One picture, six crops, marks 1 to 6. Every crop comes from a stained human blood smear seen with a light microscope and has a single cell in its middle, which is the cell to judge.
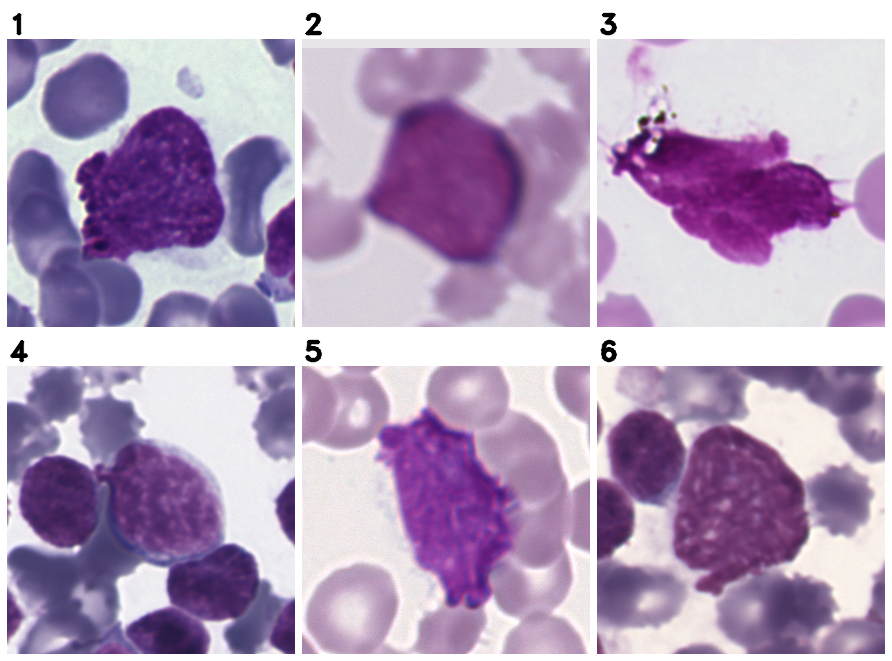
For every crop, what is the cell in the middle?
1: myeloblast
2: myeloblast
3: smudge cell
4: myeloblast
5: smudge cell
6: myeloblast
